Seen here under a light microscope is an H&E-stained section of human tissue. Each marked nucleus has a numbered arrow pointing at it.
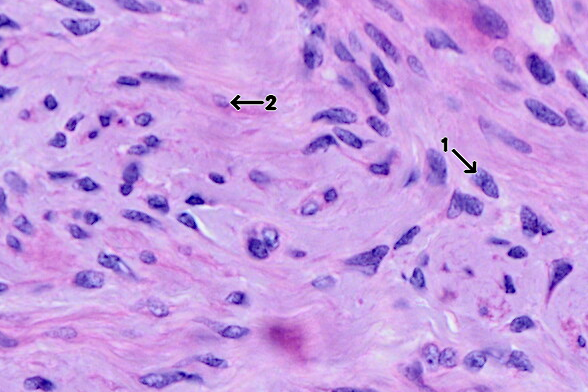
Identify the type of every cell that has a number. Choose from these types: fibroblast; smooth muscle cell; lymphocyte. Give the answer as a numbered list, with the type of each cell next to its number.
1. fibroblast
2. smooth muscle cell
